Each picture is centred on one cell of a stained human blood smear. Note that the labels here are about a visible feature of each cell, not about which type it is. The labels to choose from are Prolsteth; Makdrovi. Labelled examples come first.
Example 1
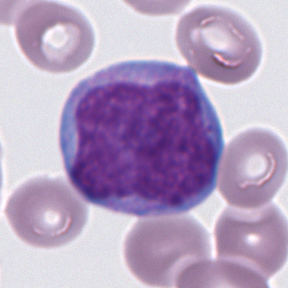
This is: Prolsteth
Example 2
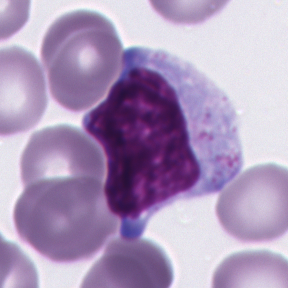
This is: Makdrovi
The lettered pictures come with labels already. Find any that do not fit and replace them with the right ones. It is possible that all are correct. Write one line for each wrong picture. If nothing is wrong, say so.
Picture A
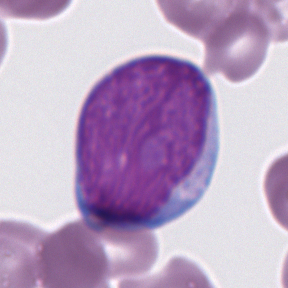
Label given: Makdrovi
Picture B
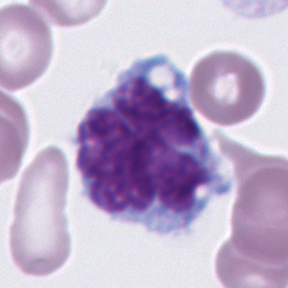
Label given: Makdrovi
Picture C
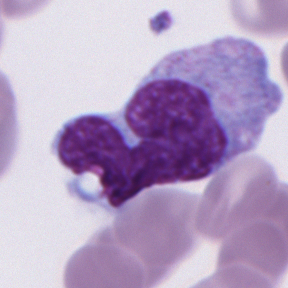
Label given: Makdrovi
A should be Prolsteth, not Makdrovi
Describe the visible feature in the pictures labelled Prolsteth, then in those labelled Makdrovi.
In Prolsteth: smooth outline. In Makdrovi: ragged outline or projections.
